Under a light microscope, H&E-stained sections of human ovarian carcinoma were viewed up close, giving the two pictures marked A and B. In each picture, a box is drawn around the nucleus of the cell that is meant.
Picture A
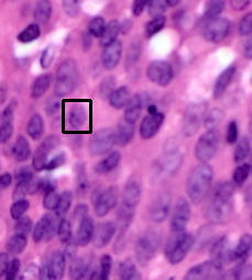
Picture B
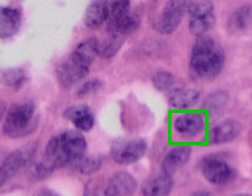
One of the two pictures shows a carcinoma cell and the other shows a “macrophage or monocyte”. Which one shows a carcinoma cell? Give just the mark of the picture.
A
